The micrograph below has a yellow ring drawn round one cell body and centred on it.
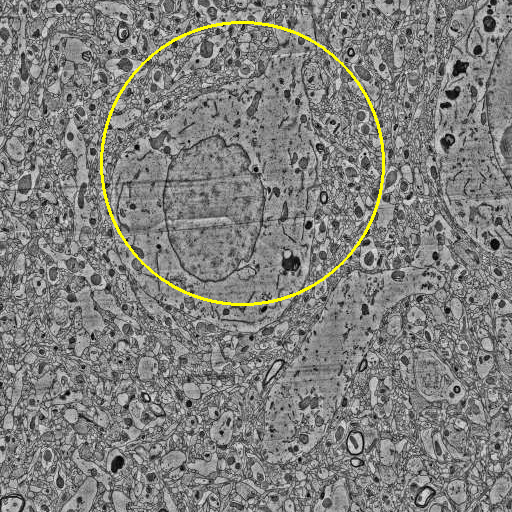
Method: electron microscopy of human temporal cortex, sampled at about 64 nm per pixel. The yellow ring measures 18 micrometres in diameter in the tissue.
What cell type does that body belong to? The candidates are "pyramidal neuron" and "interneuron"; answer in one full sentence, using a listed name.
This is a pyramidal neuron, the cell whose body lies at the centre of the ring.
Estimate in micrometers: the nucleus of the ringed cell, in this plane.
In this plane, about 9 micrometres in length and 6 in width.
